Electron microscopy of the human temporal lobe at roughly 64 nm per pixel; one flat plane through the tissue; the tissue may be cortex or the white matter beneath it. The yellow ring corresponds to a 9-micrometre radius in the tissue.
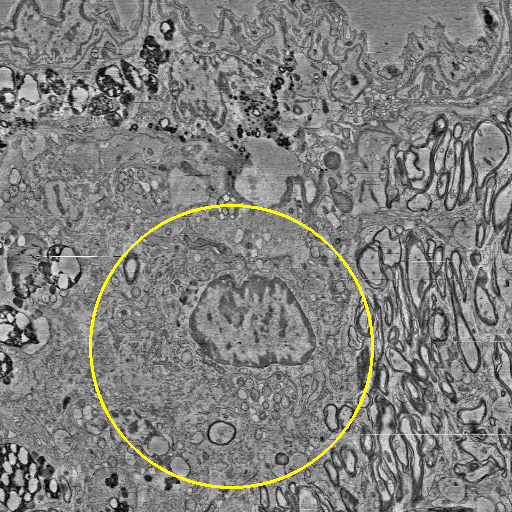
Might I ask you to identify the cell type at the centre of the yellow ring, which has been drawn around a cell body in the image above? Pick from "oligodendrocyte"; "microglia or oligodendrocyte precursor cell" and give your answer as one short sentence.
The centre of the ring falls on a microglial cell or oligodendrocyte precursor cell.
